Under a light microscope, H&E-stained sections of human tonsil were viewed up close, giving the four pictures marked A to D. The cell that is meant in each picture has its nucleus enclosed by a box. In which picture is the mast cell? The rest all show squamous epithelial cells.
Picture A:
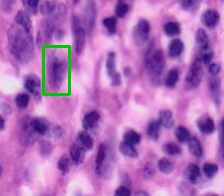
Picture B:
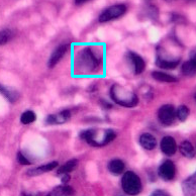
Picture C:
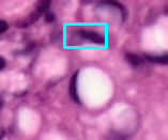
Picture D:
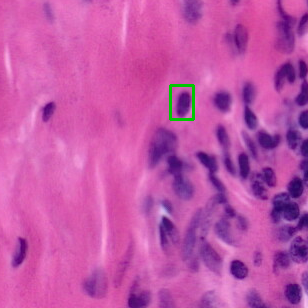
D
